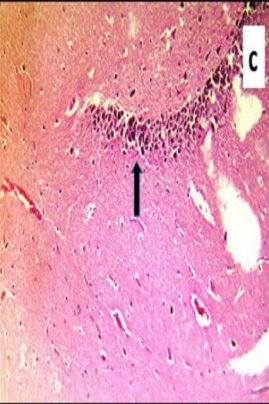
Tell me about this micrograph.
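This is hippocampal tissue in pink and purple, with a curved band of densely packed cells whose nuclei stain dark purple. Many cells in the band look small and very dark. Around the band lies pink tissue with scattered cells. Pale clefts and spaces open in the tissue to one side. The darkened cells in the layer point to a mild degenerative change.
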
